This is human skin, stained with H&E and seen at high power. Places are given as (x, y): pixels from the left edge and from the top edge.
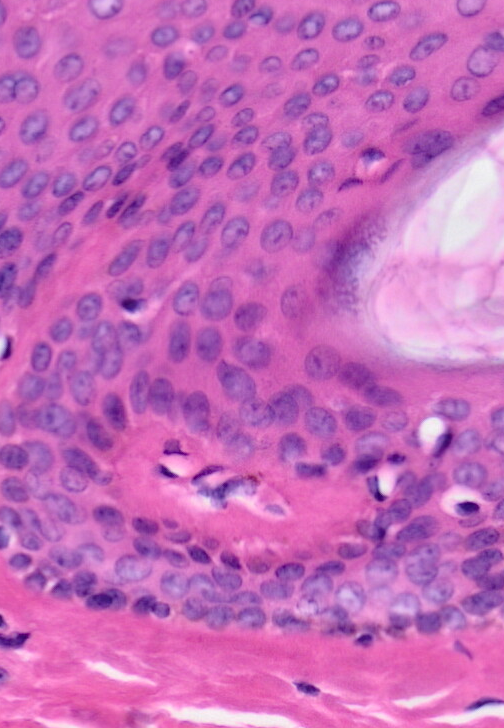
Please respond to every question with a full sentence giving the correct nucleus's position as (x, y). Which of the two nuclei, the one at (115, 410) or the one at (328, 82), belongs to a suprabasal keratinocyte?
The nucleus at (328, 82) is contained in a suprabasal keratinocyte.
